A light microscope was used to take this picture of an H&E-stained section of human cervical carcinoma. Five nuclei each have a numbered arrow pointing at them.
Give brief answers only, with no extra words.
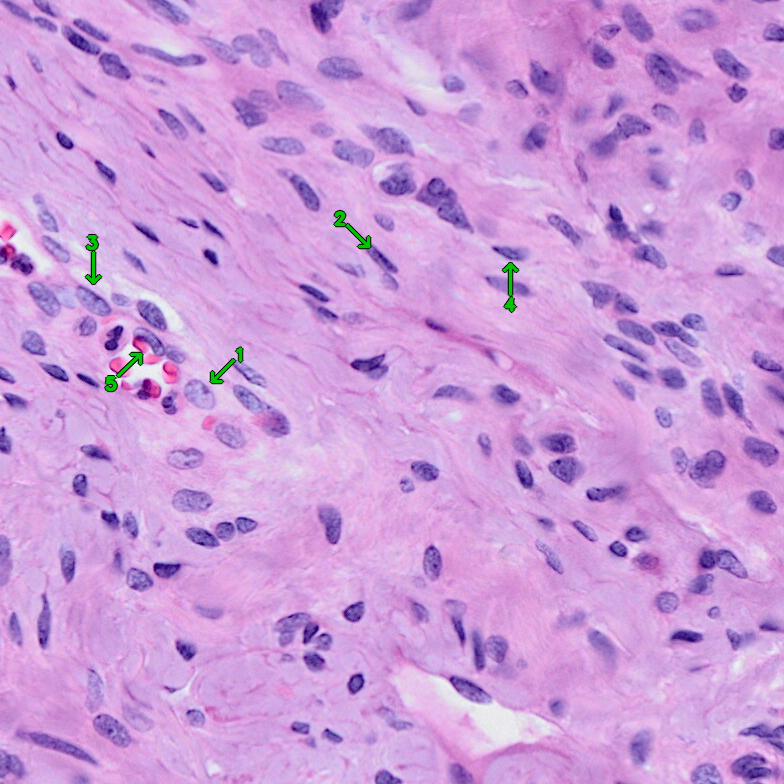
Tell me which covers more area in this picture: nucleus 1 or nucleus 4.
1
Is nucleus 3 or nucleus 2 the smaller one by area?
2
